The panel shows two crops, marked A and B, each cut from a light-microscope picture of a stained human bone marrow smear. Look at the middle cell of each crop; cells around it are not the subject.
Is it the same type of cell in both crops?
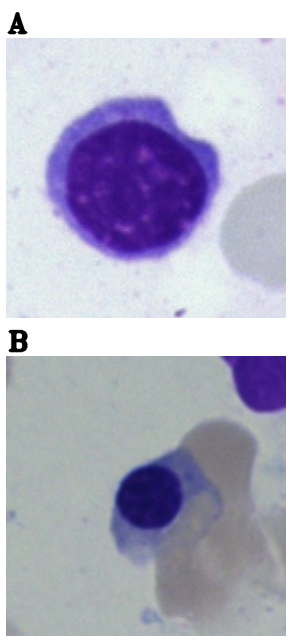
no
